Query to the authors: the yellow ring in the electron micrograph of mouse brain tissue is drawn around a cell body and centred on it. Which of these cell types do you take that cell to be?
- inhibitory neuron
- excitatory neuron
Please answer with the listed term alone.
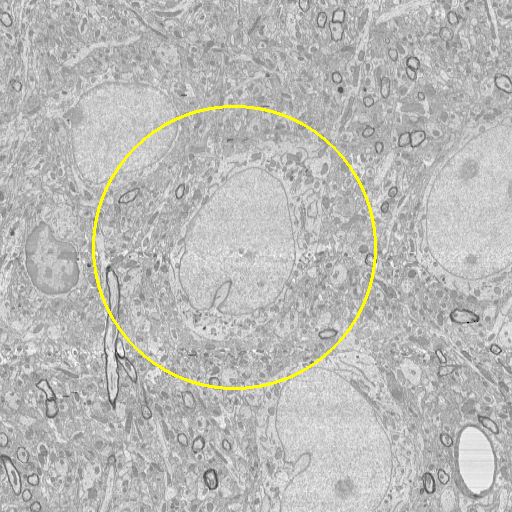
inhibitory neuron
